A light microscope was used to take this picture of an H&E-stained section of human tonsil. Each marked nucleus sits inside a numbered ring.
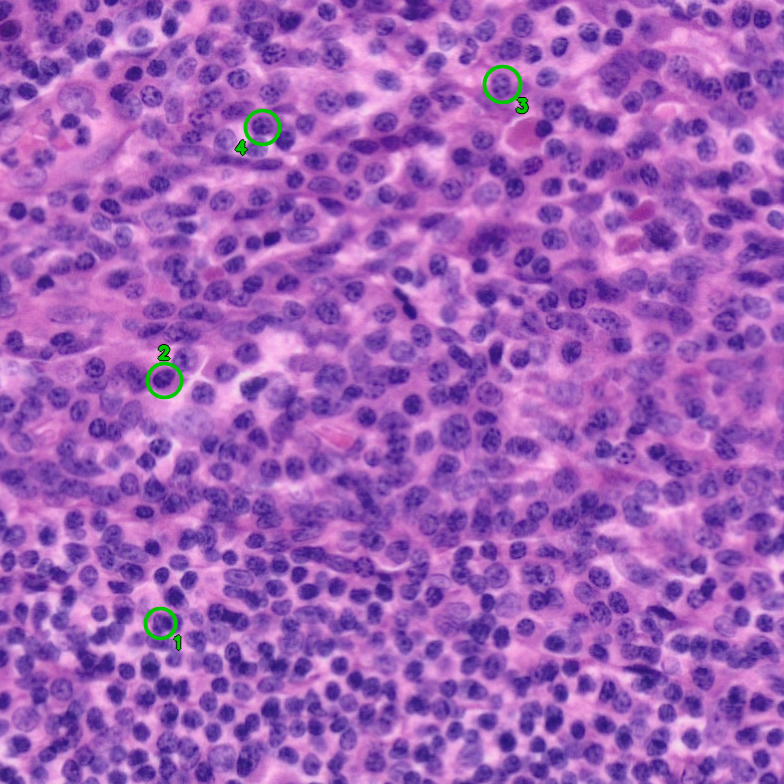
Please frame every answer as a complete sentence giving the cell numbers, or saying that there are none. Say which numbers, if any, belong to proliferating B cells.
With respect to the numbered cells, none are proliferating B cells.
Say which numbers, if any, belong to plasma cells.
Identification: the cells with numbers 2, 3 and 4 are plasma cells.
